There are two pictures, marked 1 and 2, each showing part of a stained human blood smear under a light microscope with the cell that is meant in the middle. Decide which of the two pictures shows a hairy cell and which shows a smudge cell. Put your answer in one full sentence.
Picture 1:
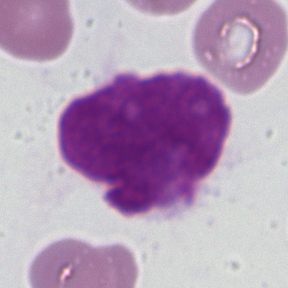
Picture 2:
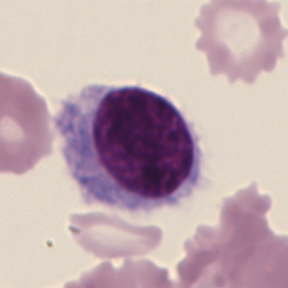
It is picture 1 that shows a smudge cell, and picture 2 that shows a hairy cell.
